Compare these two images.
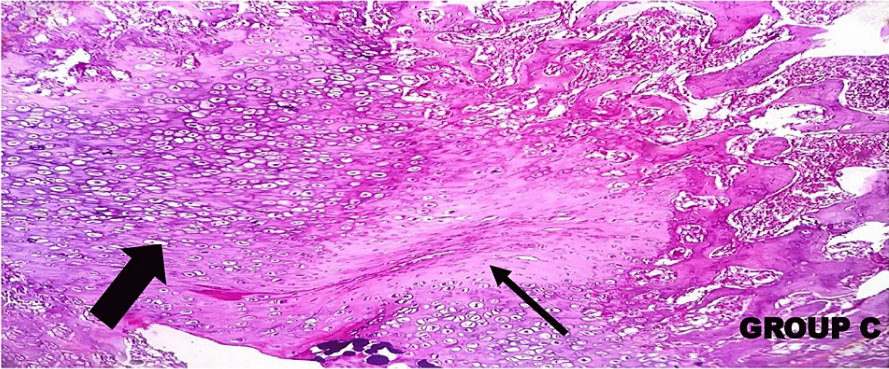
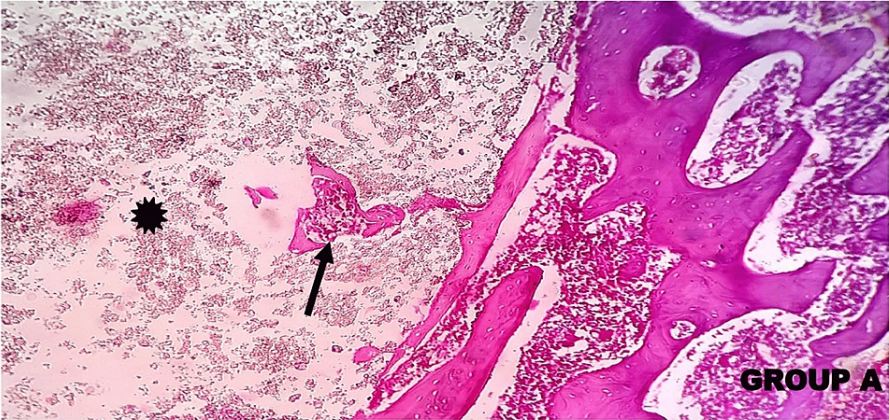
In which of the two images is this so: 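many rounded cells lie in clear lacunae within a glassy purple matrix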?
the first image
